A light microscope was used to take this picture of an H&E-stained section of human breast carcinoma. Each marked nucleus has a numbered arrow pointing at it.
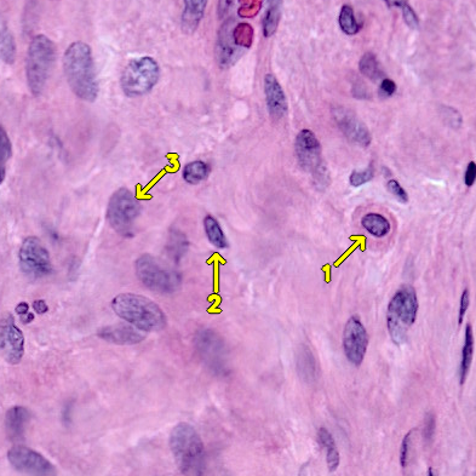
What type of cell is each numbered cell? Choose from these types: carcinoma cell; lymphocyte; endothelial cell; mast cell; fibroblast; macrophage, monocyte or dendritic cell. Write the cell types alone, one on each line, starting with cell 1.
mast cell
fibroblast
fibroblast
